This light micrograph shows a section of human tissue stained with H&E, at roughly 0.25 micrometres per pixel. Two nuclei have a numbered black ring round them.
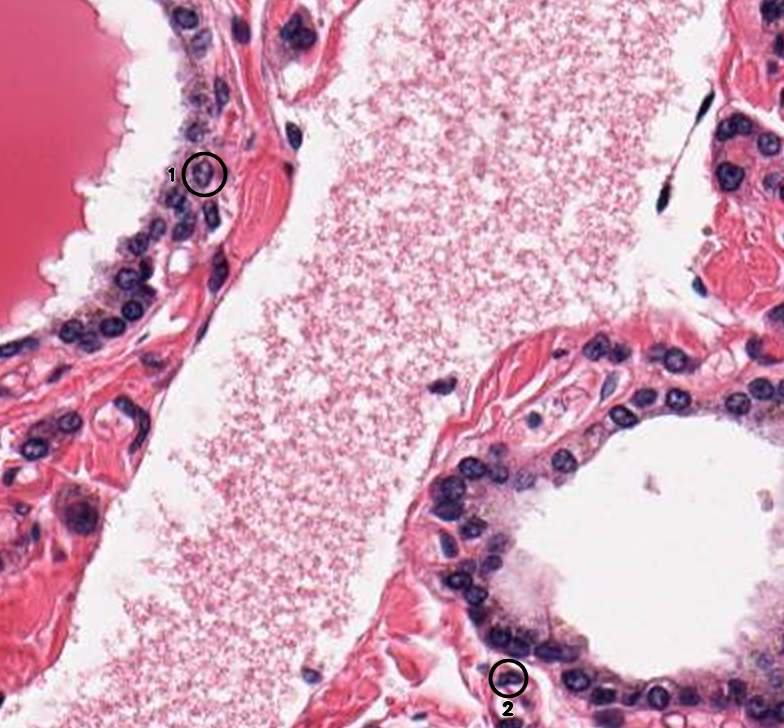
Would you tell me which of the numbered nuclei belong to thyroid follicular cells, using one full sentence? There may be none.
The numbered nucleus found within a thyroid follicular cell is nucleus 1, and it is the only one.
